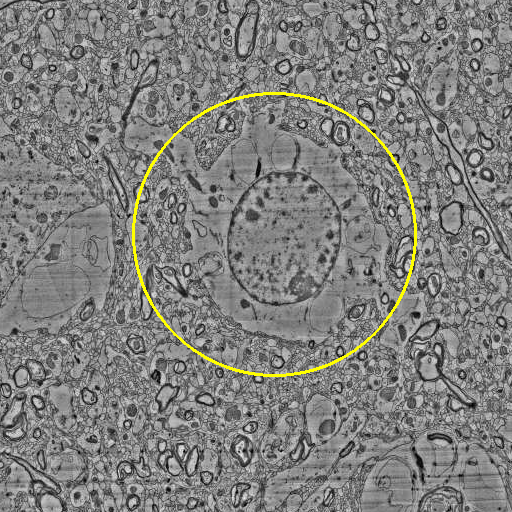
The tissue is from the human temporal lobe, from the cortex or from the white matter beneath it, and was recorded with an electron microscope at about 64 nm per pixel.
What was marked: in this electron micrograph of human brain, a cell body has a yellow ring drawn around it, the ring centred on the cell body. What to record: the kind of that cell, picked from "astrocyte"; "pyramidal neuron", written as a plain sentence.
The centred cell is an astrocyte.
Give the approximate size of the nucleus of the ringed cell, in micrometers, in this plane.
In this plane, about 9 micrometres in length and 7 in width.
